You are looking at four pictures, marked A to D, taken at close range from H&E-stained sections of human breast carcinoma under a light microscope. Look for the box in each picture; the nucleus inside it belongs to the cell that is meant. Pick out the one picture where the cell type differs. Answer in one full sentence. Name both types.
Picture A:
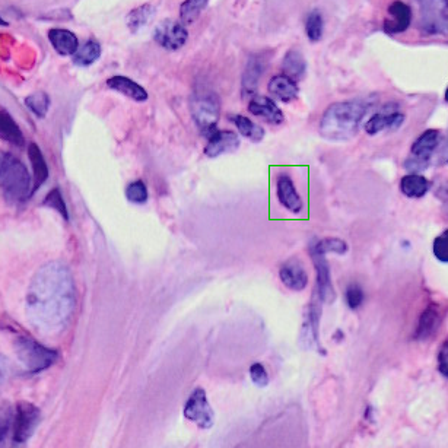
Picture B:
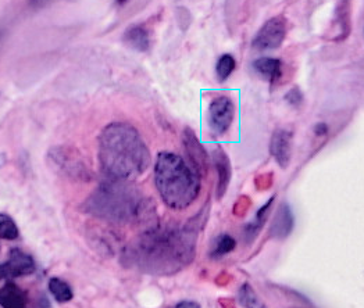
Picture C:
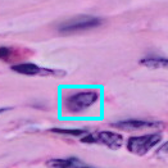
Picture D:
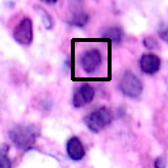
Picture D differs, because its cell is a lymphocyte and the rest are mast cells.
